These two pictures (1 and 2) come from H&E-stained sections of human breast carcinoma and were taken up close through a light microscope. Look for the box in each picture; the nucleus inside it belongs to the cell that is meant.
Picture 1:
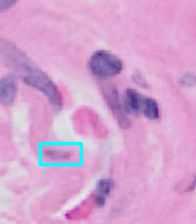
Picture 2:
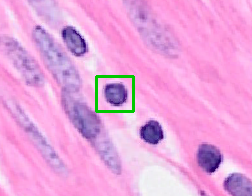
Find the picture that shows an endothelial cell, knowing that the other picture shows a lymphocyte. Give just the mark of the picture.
1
